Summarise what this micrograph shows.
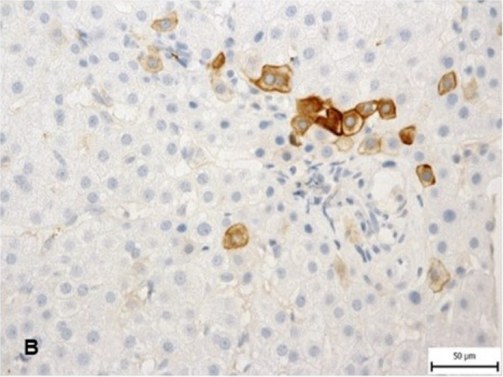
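Liver tissue in which a scattered group of hepatocytes near a portal area stands out with brown staining against a pale background with blue nuclei. The brown cells are large and polygonal, with round central nuclei and rims or cytoplasm stained brown. They are clustered around a small zone of spindle-shaped nuclei, and a few lie singly farther out. The surrounding hepatocytes are of similar size and shape and remain unstained, with pale cytoplasm and round blue nuclei. No duct-like structure with a lumen stands out in the stained area.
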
